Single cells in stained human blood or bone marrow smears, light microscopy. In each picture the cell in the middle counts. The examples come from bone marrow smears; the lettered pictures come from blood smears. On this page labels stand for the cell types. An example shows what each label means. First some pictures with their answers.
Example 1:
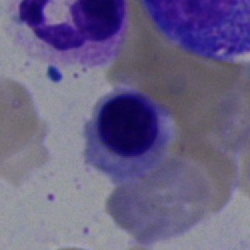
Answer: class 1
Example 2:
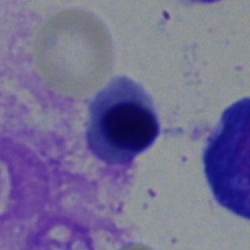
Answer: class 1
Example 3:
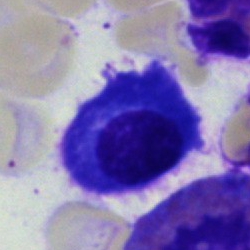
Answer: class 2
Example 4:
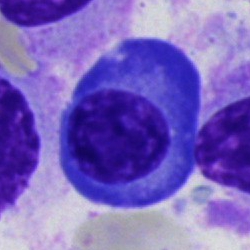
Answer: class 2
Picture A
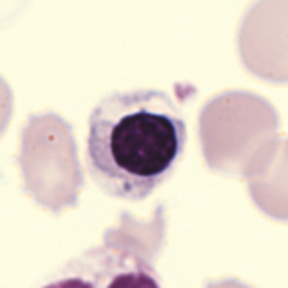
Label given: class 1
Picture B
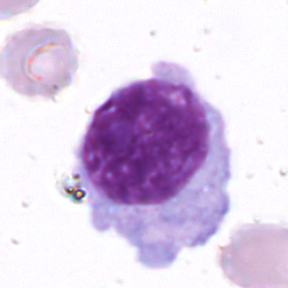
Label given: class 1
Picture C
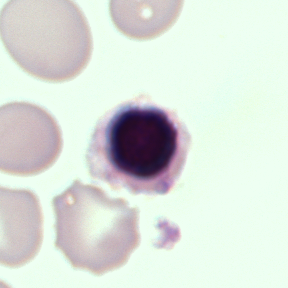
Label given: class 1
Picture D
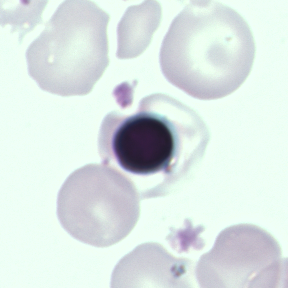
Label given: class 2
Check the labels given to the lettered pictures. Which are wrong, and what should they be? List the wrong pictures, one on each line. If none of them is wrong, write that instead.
Wrong: B (class 1); correct: class 2
Wrong: D (class 2); correct: class 1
